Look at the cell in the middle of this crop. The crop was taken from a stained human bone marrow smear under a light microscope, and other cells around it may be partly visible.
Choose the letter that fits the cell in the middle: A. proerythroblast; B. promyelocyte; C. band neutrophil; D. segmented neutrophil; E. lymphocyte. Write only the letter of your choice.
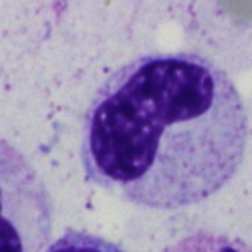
C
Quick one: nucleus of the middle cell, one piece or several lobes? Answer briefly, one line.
The cell carries one compact nucleus shaped round, oval or like a kidney.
